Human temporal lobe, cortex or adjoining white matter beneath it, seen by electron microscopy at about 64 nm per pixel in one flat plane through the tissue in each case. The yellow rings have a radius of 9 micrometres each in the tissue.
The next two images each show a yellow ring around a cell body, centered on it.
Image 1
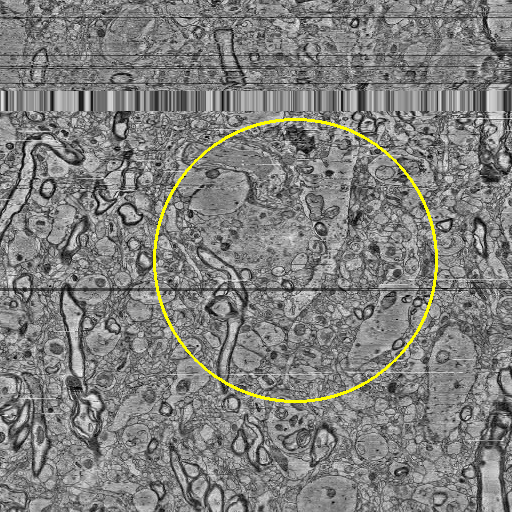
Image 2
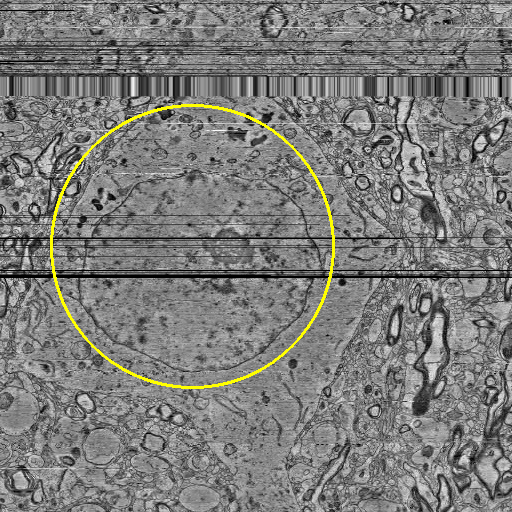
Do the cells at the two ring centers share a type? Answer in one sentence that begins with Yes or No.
No, across the two images the cells at the ring centers are of two types.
